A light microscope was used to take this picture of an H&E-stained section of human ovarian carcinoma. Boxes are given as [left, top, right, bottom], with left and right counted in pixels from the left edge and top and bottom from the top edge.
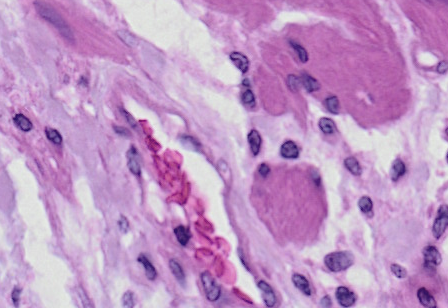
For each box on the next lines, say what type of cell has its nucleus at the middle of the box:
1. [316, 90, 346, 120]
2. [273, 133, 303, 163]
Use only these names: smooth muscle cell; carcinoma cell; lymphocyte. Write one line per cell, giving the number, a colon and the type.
1: smooth muscle cell
2: lymphocyte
